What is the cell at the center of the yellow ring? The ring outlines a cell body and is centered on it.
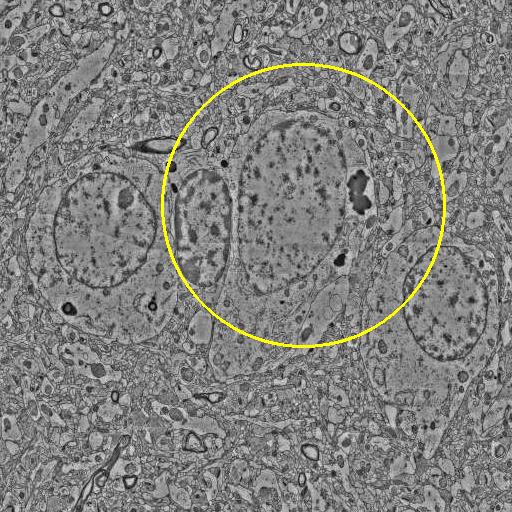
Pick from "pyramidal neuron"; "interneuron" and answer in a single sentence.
The yellow ring is centered on an interneuron.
